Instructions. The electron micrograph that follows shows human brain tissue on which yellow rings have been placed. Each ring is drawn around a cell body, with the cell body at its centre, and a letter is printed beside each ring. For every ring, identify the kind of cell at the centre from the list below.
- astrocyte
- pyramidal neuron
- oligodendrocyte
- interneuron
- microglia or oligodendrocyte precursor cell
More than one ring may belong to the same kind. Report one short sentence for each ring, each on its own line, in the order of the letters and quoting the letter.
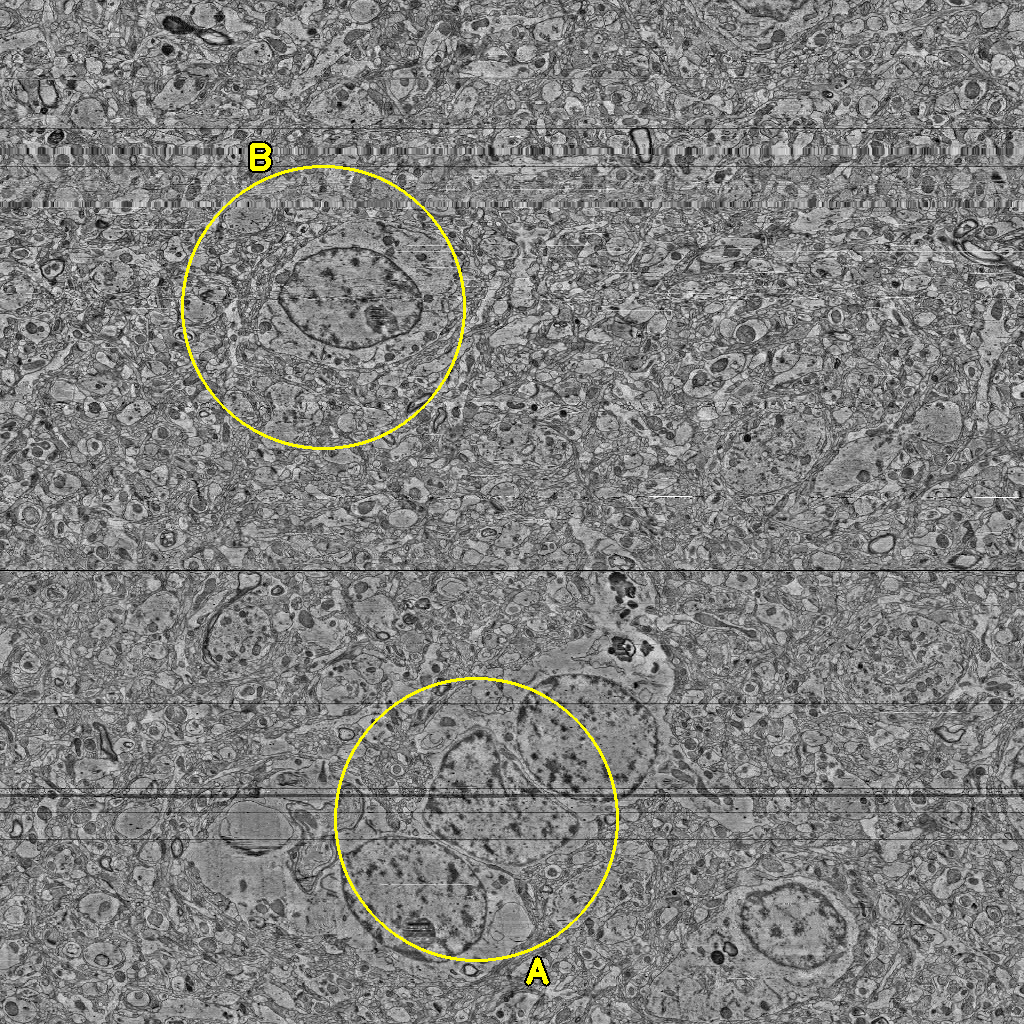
The centre of ring A is occupied by a microglial cell or oligodendrocyte precursor cell.
The centre of ring B is occupied by a pyramidal neuron.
